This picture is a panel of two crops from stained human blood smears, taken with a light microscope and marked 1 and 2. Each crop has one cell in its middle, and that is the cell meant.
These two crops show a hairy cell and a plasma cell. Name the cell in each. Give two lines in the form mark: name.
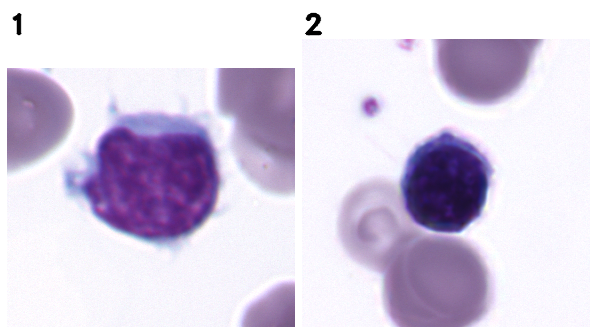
1: hairy cell
2: plasma cell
